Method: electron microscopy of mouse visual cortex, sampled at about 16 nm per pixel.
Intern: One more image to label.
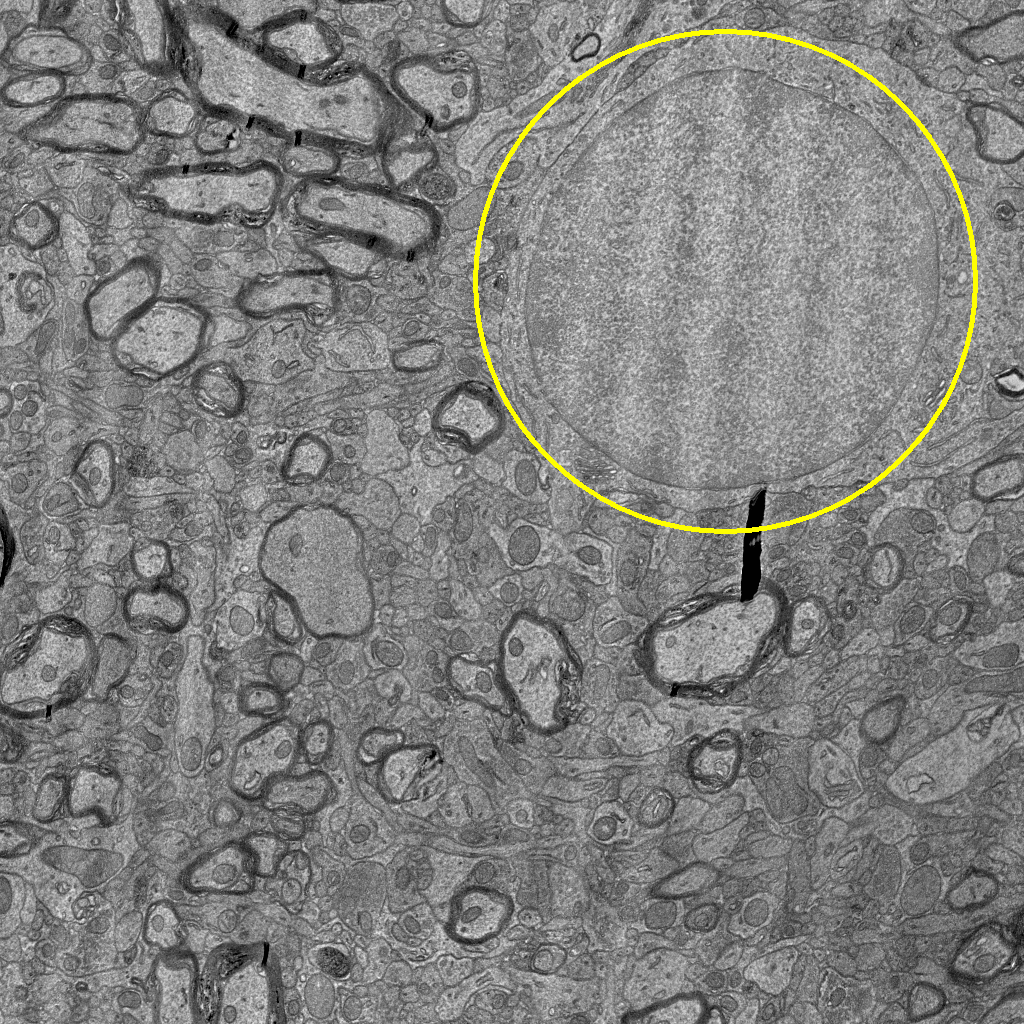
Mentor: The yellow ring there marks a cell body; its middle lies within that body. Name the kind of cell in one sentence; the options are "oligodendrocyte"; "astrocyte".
The ring marks the cell body of an oligodendrocyte.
